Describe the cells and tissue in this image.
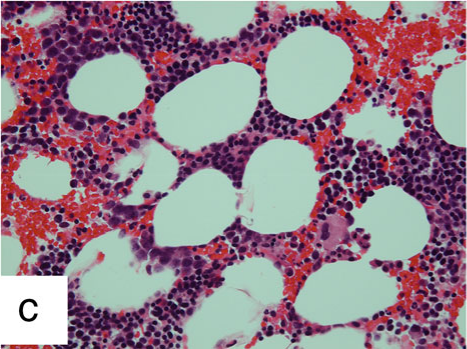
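This is bone marrow at high power, with blood-forming cells packed between fat cells. The large, clear, rounded spaces are fat cells whose contents have dissolved away during processing, leaving only thin outlines. Crowded into the bands between them are many small cells with round, dark purple nuclei and scant cytoplasm, mixed with some larger cells that show more pink cytoplasm. Bright red areas are red blood cells lying free between the cells. The cells form sheets and cords that wrap around the fat spaces, the usual mixed pattern of active marrow.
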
